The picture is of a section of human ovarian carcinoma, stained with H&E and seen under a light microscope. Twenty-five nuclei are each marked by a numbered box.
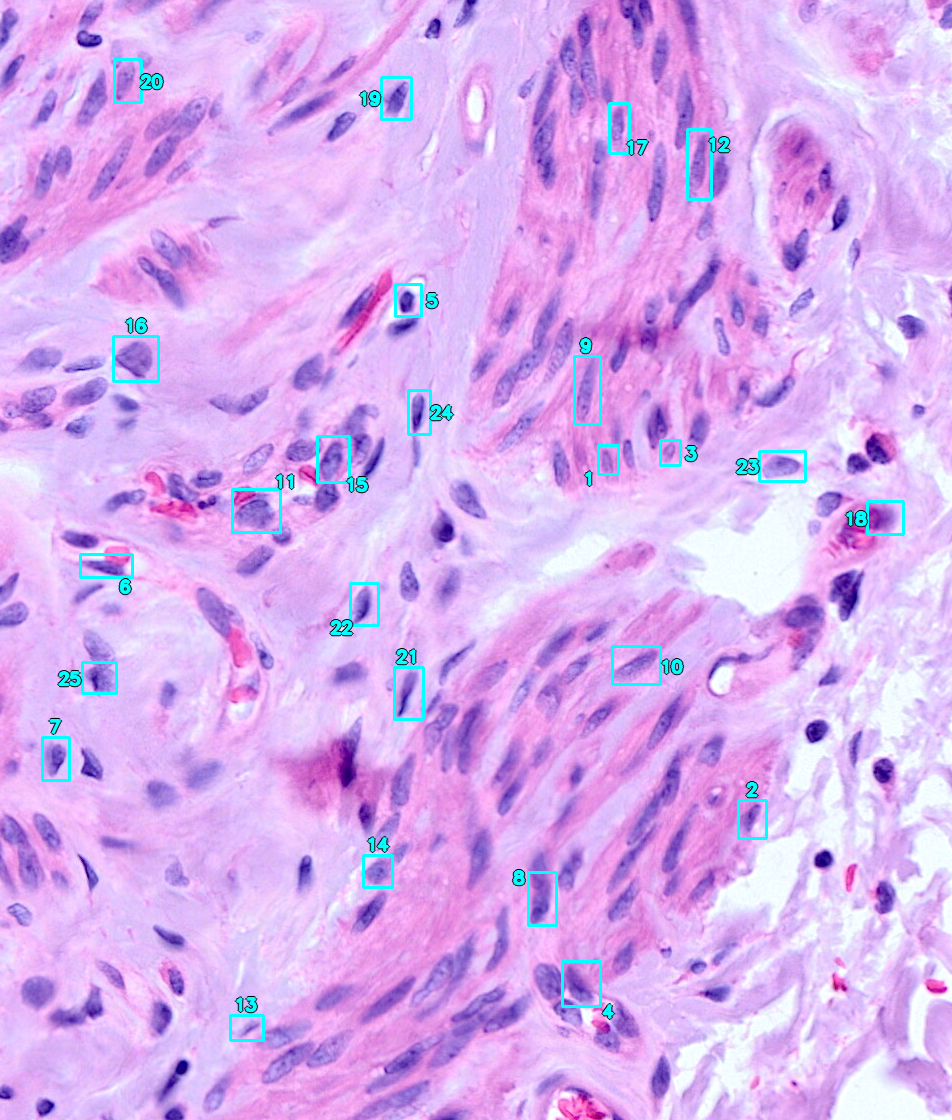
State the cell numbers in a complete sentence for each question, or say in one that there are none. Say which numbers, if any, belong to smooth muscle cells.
The cells numbered 1, 2, 3, 8, 9, 10, 12, 14, 17 and 20 are, by type, smooth muscle cells.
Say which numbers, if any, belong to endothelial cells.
The cells marked by the numbers 4, 6, 11, 15 and 18 are endothelial cells.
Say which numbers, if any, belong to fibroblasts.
Cells 7, 13, 16, 19, 21, 22, 23, 24 and 25 in the section are typed as fibroblasts.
